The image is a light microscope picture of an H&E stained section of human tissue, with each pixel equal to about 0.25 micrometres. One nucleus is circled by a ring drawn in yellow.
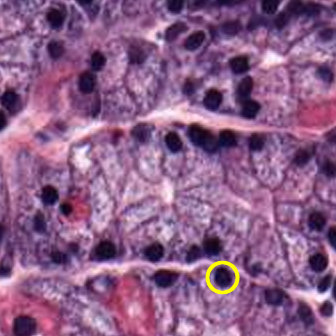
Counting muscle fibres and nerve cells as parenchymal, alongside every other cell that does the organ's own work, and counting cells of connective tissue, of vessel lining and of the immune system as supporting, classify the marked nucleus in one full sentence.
The marked nucleus is contained in a parenchymal cell, namely a chief cell.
